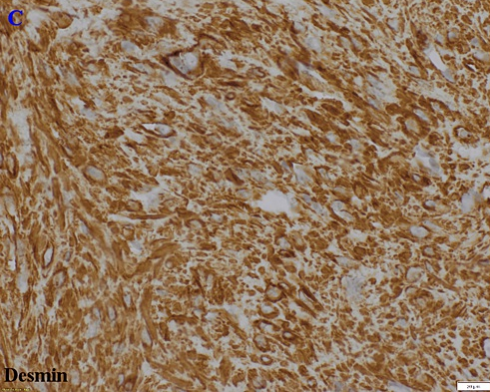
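The tumor cells here are densely packed spindle and plump cells whose cytoplasm is strongly brown throughout. They lie in crowded, intersecting bundles.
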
